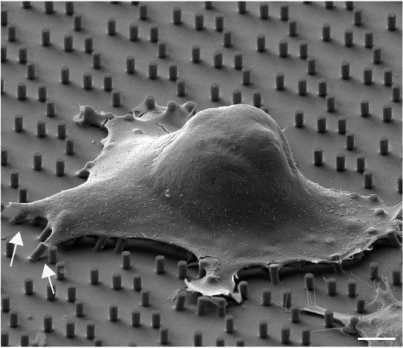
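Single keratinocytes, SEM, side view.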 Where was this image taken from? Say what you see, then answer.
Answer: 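Nuclei positioned above the underlying substrates. The domed central cell body rises well above the tops of the pillars. The thin flat cell margin spreads over the pillar tops around the dome.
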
